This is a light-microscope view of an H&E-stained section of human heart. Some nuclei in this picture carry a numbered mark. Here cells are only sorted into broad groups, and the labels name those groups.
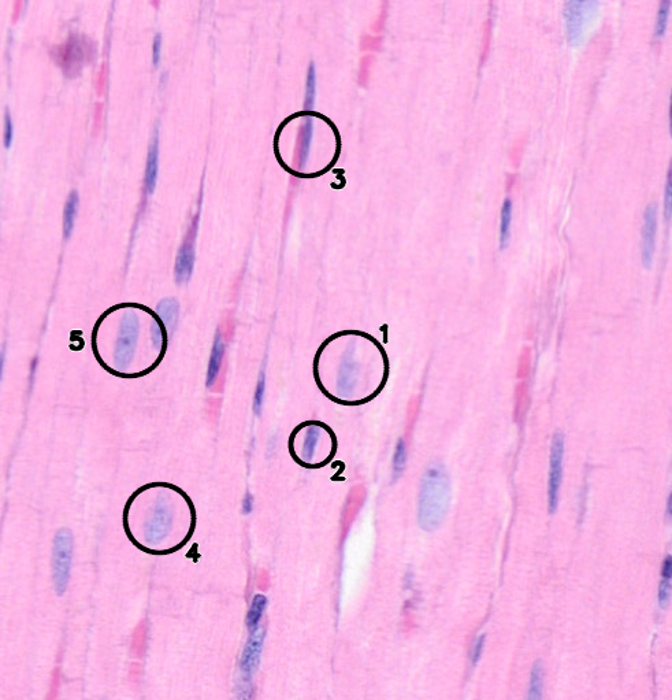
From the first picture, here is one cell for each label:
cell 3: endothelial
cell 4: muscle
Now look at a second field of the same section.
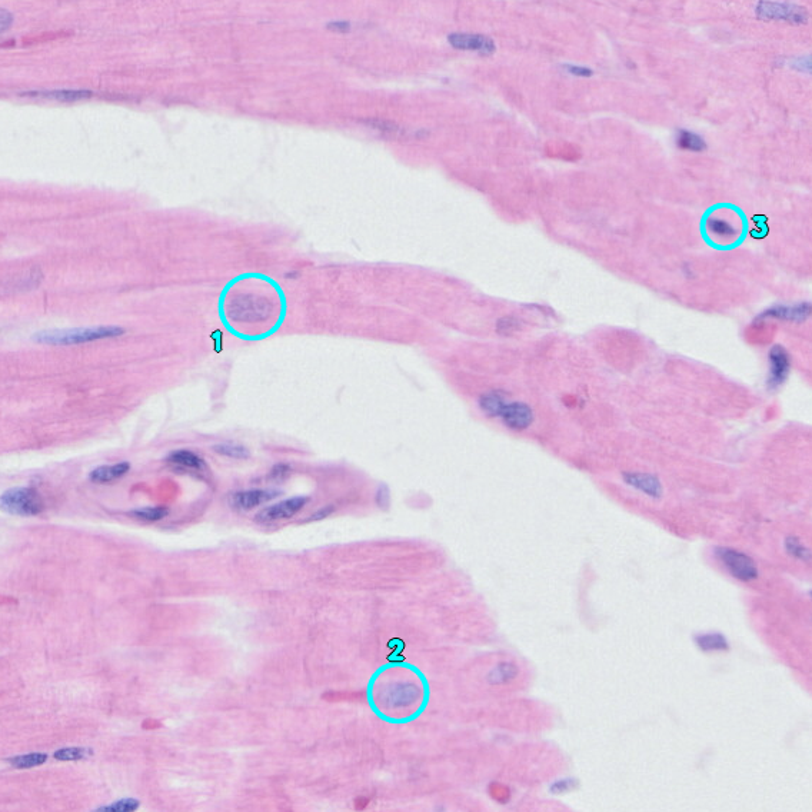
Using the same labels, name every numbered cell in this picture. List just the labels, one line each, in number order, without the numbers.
muscle
muscle
endothelial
